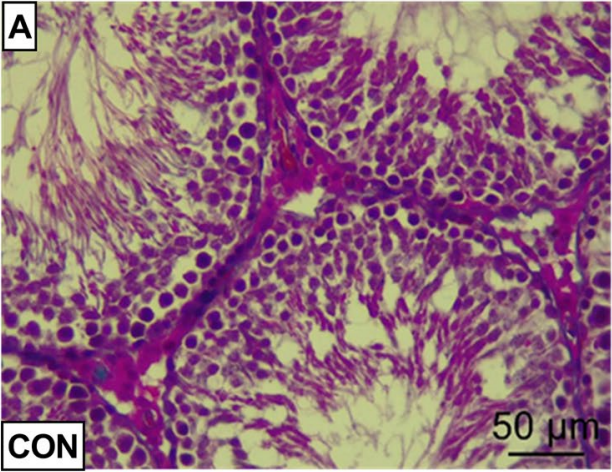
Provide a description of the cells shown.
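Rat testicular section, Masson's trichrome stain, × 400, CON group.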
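Seminiferous tubules cut in cross and oblique section, packed closely with only thin interstitial septa between them. Each tubule is lined by a multilayered epithelium of spermatogenic cells with round, dark purple nuclei, denser toward the basal side. Toward the lumen, elongated dark heads and pale pink thread-like tails of spermatozoa gather in bundles. Tubule borders are thin and purple-red; blue-green collagen is nearly absent, seen at most as faint traces in the narrow interstitium. Small interstitial vessels appear as red-stained spaces between tubules.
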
